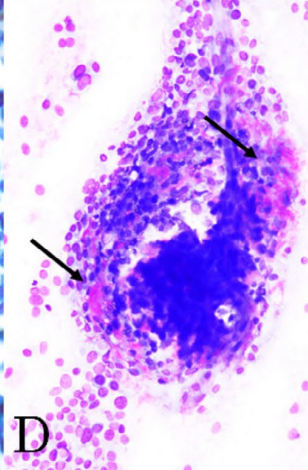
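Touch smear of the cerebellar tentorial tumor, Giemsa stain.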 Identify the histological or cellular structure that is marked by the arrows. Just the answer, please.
Metachromatic stroma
